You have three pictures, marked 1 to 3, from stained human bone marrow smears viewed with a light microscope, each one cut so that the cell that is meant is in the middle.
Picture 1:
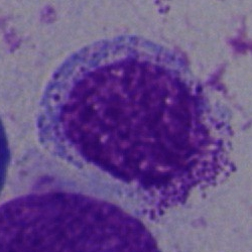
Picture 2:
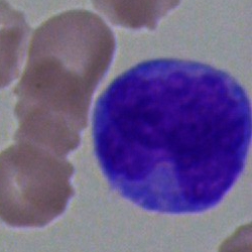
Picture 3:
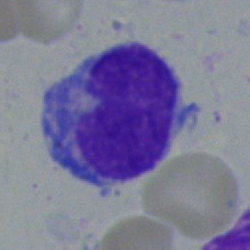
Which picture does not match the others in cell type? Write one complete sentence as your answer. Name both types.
The others show monocytes, but picture 1 shows a myelocyte.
